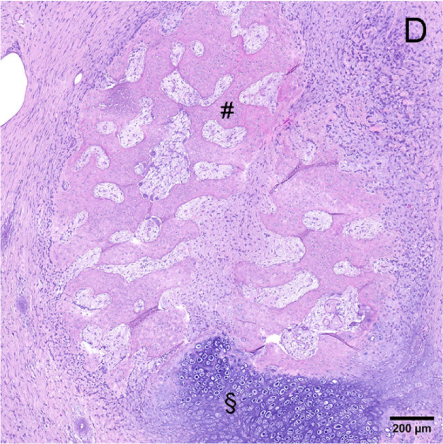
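This section shows a focus of newly formed cartilage and woven bone set within cellular fibrous tissue. At the lower part, rounded chondrocytes lie in lacunae within a bluish-purple cartilage matrix. Above it, irregular anastomosing pink trabeculae of woven bone enclose pale, loose intertrabecular spaces. The focus is surrounded by fibrous tissue with many spindle-shaped cells.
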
